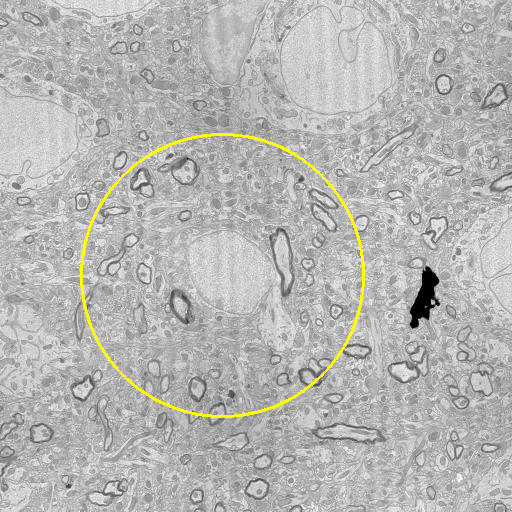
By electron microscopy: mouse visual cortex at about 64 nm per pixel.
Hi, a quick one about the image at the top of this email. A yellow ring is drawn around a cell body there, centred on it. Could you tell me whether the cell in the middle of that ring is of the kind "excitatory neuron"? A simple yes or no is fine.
no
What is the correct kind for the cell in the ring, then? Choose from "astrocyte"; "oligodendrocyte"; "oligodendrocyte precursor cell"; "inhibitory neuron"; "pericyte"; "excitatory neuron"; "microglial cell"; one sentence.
That cell in the ring is an astrocyte instead.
